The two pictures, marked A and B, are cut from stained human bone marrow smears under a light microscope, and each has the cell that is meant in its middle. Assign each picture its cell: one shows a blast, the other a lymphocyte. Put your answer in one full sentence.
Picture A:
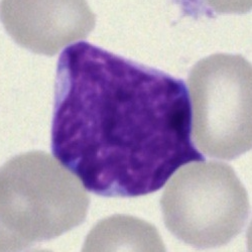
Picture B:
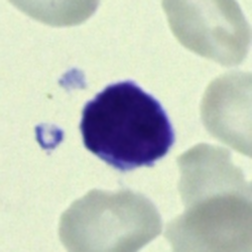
The cell in picture A is a blast, and the one in picture B is a lymphocyte.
